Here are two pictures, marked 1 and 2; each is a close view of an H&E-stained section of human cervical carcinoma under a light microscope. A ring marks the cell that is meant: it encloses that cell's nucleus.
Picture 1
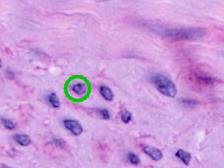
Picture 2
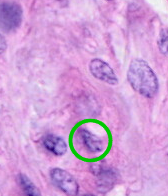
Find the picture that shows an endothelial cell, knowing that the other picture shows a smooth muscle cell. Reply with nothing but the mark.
2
